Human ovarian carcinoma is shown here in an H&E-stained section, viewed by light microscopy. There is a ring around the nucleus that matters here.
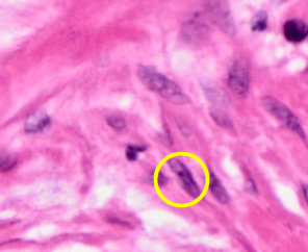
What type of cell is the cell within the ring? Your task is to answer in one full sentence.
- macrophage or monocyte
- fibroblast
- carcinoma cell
As classified here, the cell within the ring is a fibroblast.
